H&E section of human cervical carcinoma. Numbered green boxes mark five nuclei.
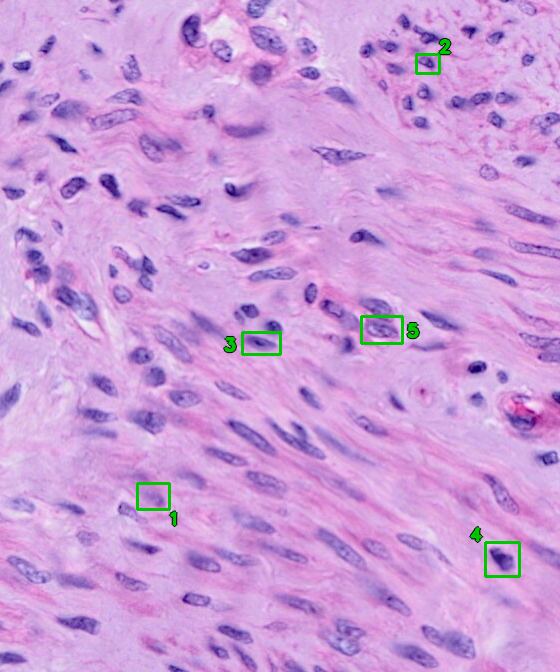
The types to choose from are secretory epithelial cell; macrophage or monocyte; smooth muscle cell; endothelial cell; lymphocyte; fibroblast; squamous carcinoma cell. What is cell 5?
endothelial cell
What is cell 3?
fibroblast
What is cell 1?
smooth muscle cell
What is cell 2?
smooth muscle cell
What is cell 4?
lymphocyte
